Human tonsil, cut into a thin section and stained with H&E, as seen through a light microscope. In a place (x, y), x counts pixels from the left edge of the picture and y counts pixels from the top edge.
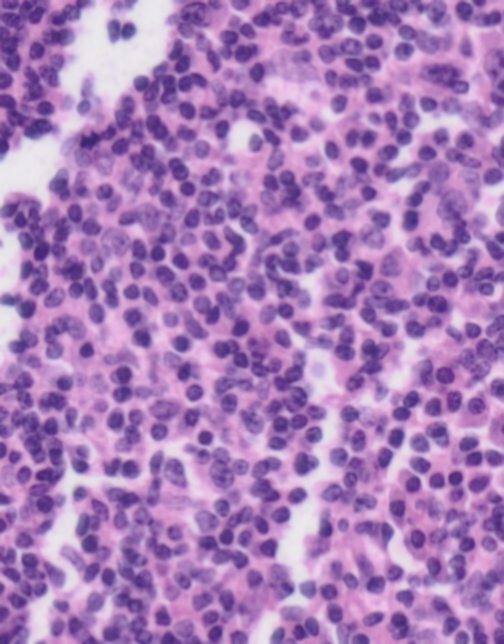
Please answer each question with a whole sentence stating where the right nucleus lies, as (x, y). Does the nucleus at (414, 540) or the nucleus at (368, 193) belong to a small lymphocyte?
Of the pair, the nucleus located at (368, 193) belongs to a small lymphocyte.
